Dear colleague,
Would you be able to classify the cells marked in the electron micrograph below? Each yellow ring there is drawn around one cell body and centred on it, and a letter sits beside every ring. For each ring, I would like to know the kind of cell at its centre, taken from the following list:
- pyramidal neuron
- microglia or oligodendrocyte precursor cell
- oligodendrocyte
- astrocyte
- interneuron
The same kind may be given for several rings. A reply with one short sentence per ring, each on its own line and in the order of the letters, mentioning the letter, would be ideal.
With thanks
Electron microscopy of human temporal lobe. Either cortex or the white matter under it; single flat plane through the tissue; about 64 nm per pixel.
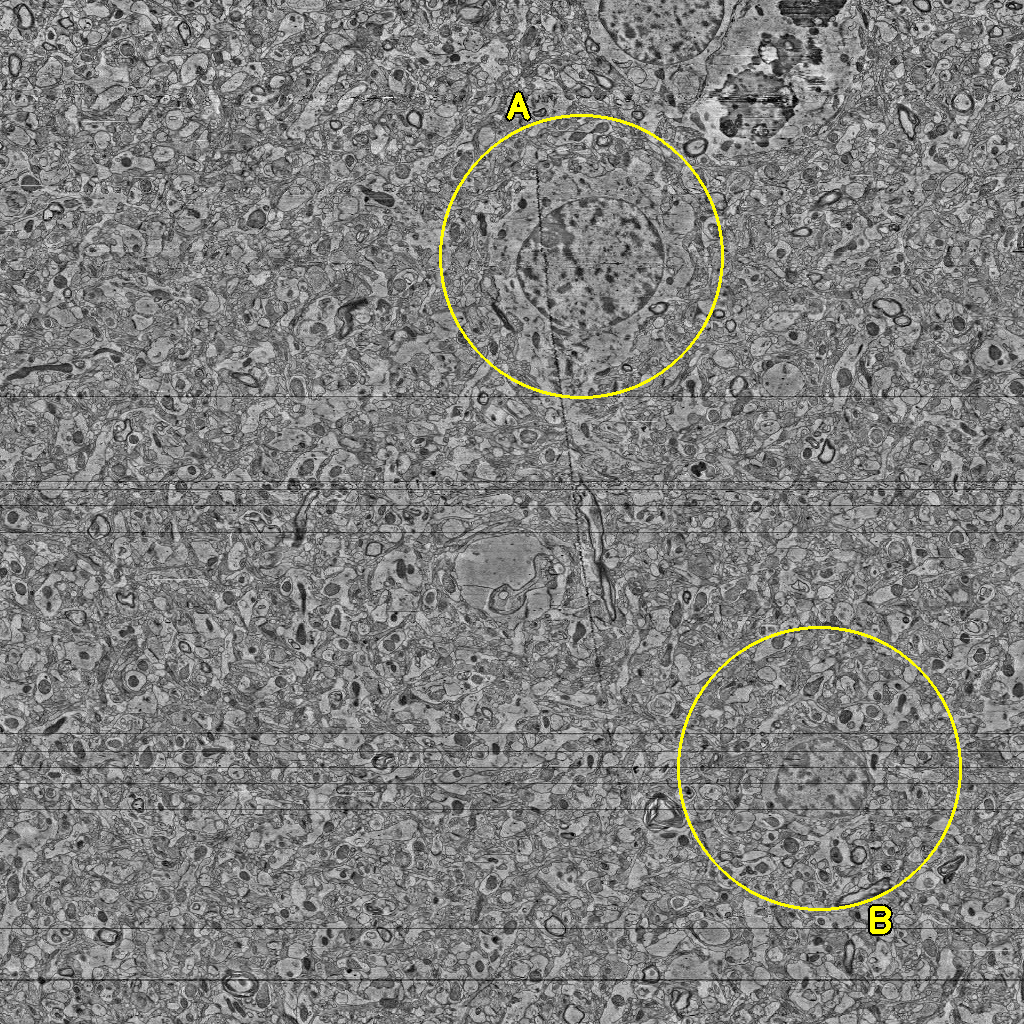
Ring A contains an astrocyte at its centre.
Ring B contains an oligodendrocyte at its centre.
